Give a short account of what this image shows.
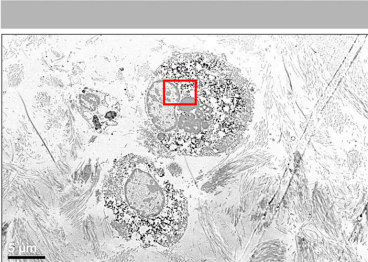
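Two large round cells have nuclei surrounded by cytoplasm crowded with dense black particles and vacuoles. The surrounding matrix holds collagen fibril bundles running in several directions, with a smaller cell profile nearby.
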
